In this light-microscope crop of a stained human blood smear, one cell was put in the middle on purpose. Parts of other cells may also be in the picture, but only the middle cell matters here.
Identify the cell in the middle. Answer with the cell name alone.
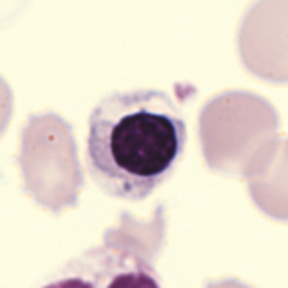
erythroblast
